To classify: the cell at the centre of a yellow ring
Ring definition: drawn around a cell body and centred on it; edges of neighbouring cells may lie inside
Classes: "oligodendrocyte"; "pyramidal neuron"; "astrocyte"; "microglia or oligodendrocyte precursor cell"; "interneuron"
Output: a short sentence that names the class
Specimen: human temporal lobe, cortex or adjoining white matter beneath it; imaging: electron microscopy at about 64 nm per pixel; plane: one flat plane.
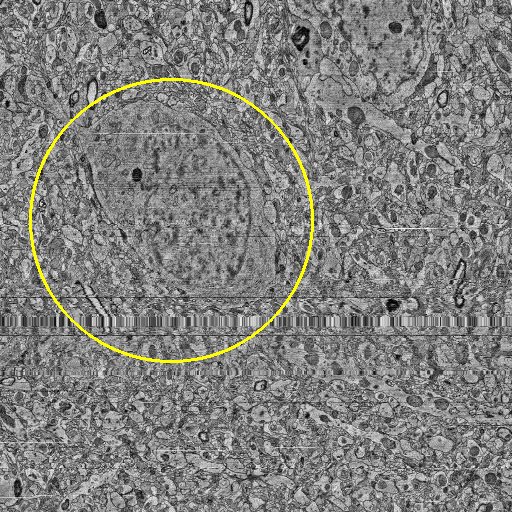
The ringed cell is an interneuron.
